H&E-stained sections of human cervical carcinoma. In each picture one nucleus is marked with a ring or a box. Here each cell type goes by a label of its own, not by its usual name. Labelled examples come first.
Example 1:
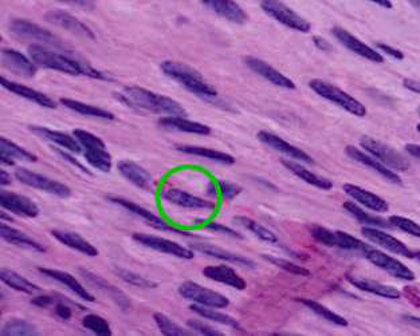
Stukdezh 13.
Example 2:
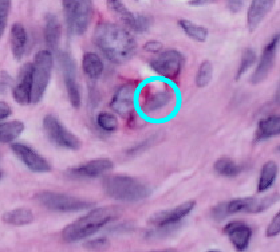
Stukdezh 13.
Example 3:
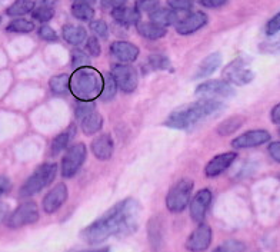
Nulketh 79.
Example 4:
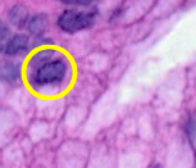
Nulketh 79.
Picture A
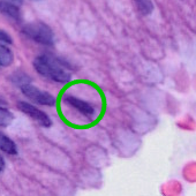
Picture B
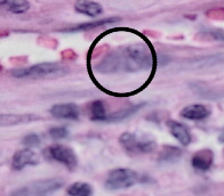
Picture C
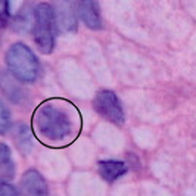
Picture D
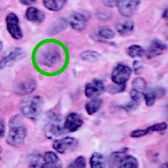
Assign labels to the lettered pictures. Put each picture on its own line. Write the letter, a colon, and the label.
A: Nulketh 79.
B: Stukdezh 13.
C: Nulketh 79.
D: Stukdezh 13.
